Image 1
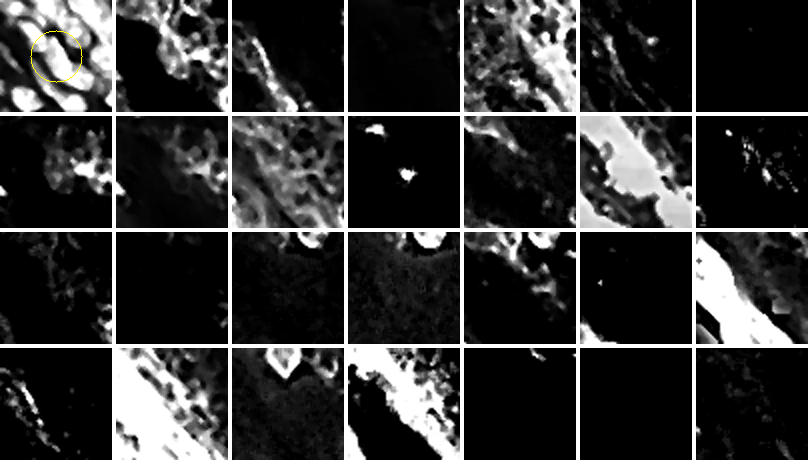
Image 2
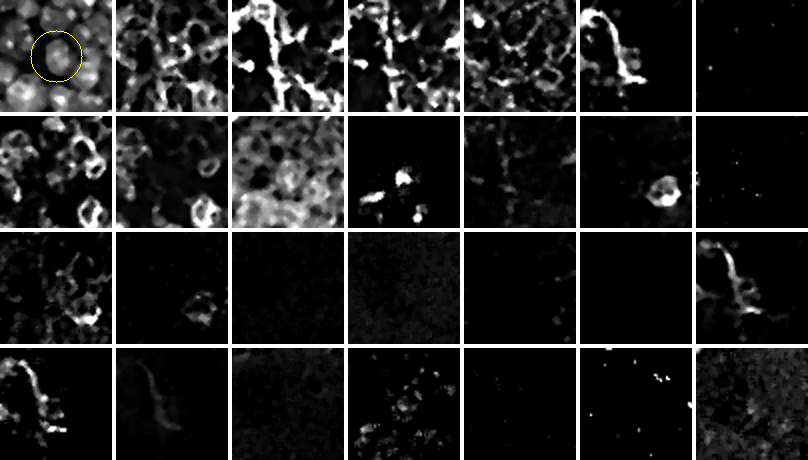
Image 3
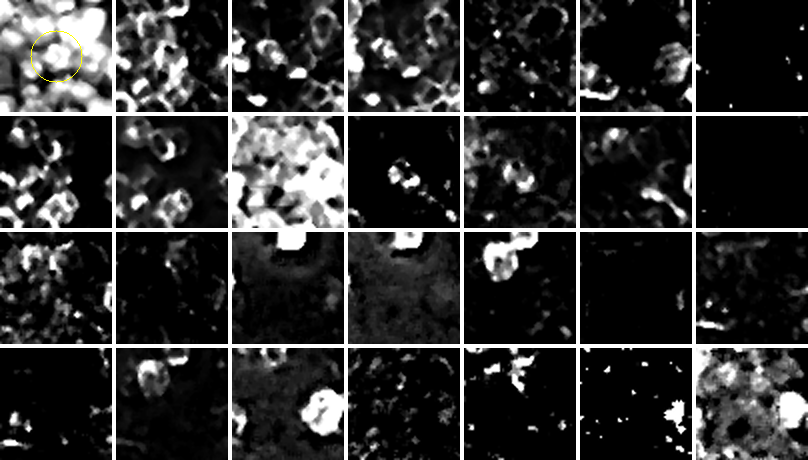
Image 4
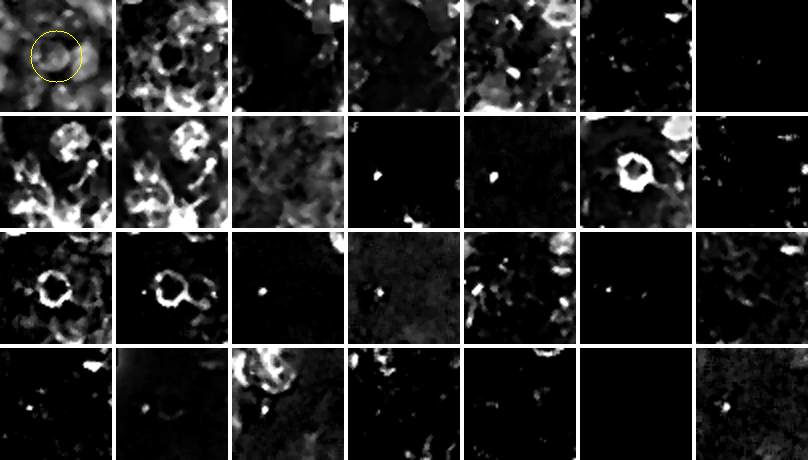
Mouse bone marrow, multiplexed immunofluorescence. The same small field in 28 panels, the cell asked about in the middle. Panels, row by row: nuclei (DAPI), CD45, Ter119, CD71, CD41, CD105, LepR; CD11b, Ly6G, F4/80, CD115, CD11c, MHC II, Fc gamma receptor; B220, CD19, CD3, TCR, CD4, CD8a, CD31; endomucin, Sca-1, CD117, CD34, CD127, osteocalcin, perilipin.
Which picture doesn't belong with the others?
Picture 4.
